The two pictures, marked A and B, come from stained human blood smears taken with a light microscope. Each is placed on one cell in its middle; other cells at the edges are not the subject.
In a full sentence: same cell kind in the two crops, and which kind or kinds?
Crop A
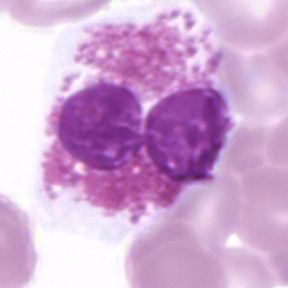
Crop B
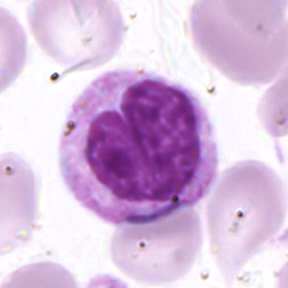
No, an eosinophil is depicted by crop A, a band neutrophil by crop B.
